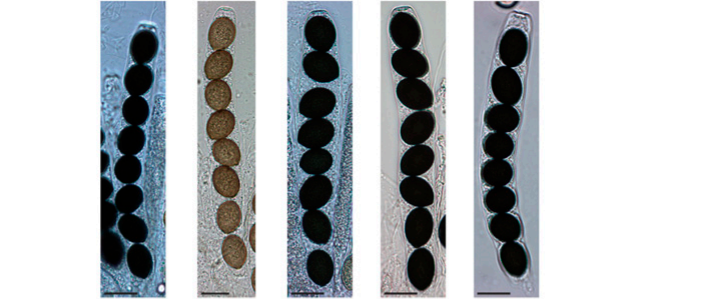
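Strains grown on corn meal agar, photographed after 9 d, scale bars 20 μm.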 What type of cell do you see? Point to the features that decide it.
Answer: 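Ellipsoid spores lie in a single file inside elongate, thin-walled sacs. Each sac holds a row of similar-sized spores stacked end to end. The spores have thick, pigmented walls, most of them opaque black.
Hence: ascospores.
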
